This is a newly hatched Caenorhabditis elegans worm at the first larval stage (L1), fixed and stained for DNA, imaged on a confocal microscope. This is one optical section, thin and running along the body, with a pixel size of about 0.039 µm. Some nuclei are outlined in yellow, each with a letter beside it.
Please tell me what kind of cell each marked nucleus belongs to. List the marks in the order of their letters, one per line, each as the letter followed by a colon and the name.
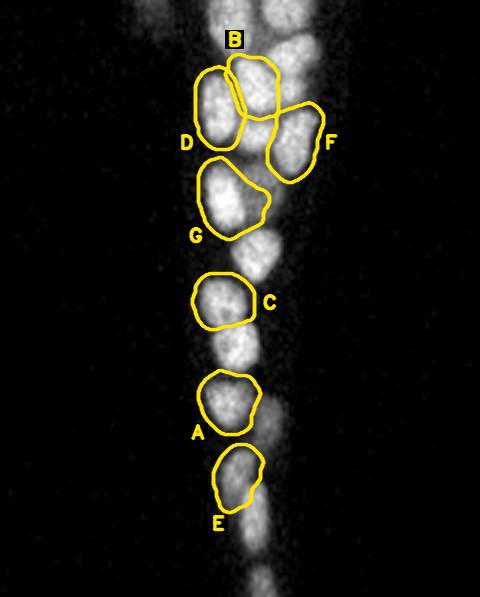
A: hypodermal cell (hyp)
B: neuron
C: hypodermal cell (hyp)
D: body wall muscle cell
E: hypodermal cell (hyp)
F: body wall muscle cell
G: neuron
